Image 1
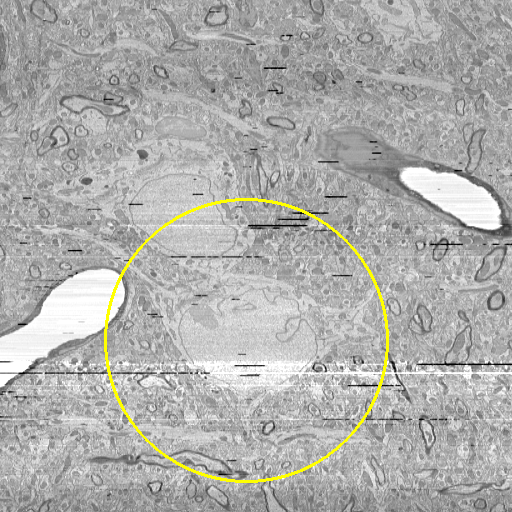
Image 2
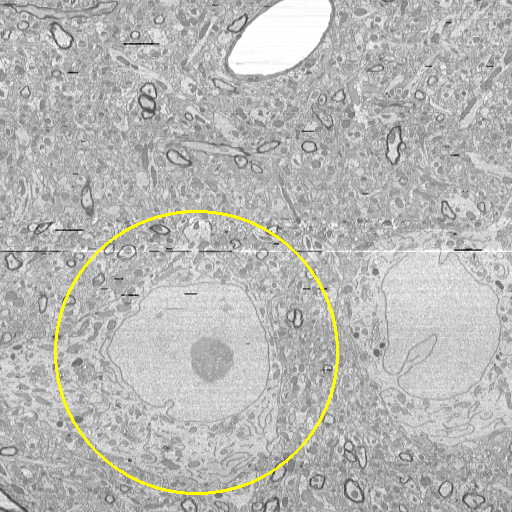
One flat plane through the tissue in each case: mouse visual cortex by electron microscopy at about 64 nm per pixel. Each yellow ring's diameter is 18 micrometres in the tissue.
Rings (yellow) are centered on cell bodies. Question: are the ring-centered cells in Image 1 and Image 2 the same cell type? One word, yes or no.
no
